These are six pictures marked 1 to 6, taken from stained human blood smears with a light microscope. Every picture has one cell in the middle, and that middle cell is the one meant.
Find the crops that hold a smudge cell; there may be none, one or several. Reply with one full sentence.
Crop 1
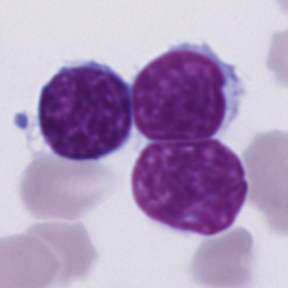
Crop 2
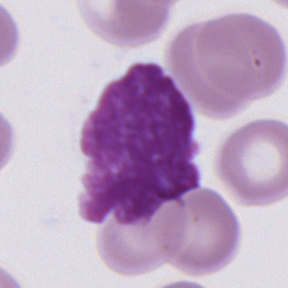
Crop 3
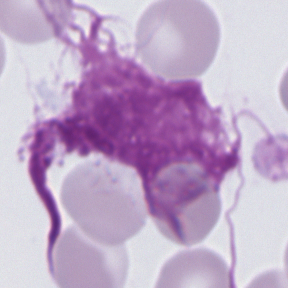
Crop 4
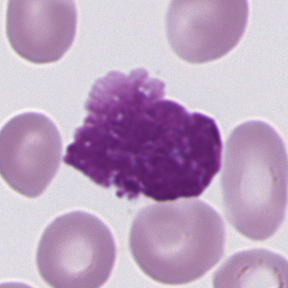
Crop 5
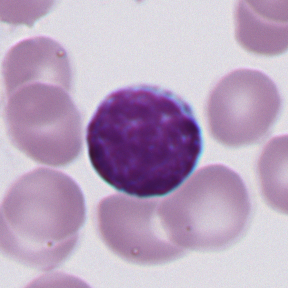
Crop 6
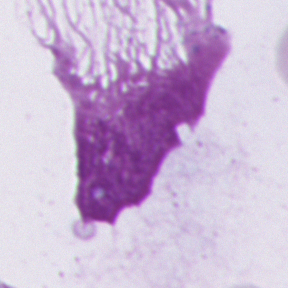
The central cells of crops 2, 3, 4 and 6 are identified as smudge cells.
